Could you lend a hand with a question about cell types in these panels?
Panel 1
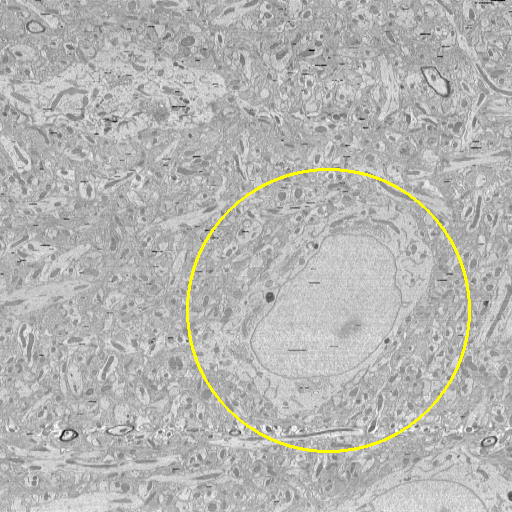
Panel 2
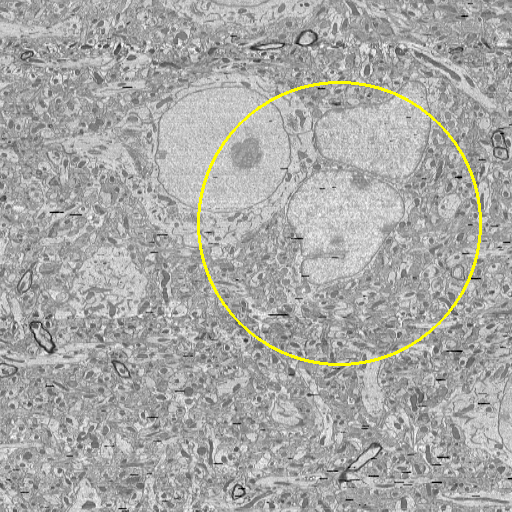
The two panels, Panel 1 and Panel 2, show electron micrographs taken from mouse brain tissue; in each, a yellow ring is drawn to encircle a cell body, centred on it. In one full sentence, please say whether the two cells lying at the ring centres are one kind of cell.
No, the cells at the ring centres in the two panels are two kinds of cell.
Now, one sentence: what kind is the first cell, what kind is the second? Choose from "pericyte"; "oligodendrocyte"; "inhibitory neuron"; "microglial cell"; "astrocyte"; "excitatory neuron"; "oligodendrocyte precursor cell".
The first picture has an excitatory neuron at its ring centre, and the second has an astrocyte.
